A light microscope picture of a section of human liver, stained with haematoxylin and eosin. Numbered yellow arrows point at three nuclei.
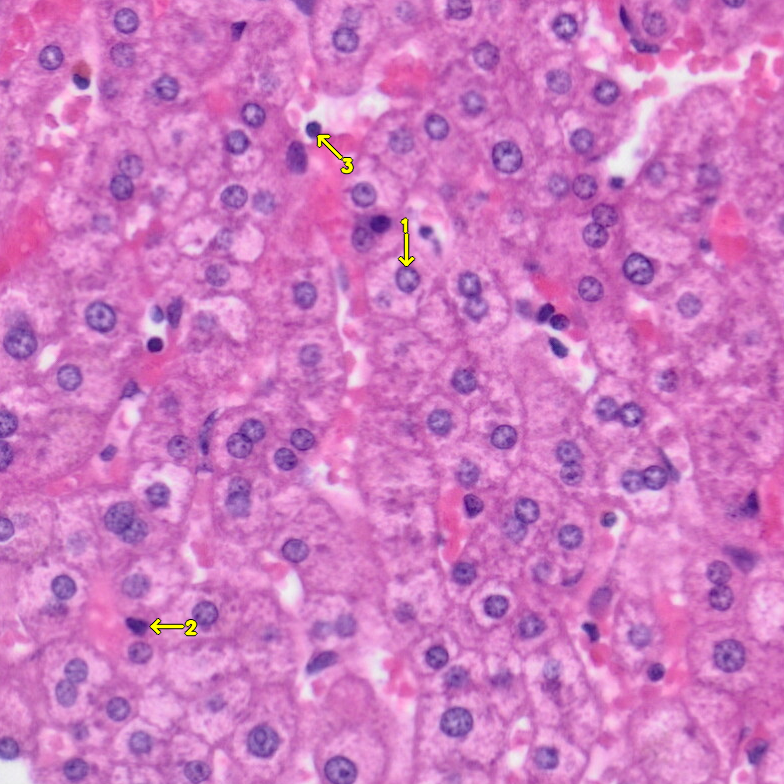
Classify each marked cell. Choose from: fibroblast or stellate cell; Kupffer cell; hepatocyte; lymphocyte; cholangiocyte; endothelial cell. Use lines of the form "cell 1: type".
cell 1: hepatocyte
cell 2: fibroblast or stellate cell
cell 3: lymphocyte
